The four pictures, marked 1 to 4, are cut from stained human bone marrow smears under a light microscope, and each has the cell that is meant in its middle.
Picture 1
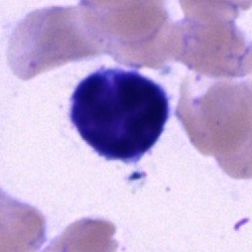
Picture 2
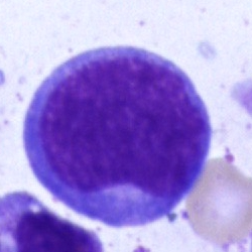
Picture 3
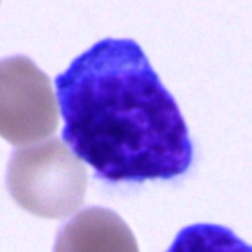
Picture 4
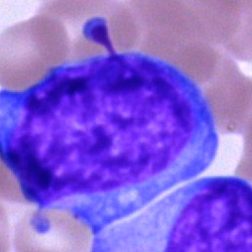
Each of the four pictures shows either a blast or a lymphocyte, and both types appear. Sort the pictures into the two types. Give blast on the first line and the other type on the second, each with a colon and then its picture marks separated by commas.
blast: 2, 3, 4
lymphocyte: 1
